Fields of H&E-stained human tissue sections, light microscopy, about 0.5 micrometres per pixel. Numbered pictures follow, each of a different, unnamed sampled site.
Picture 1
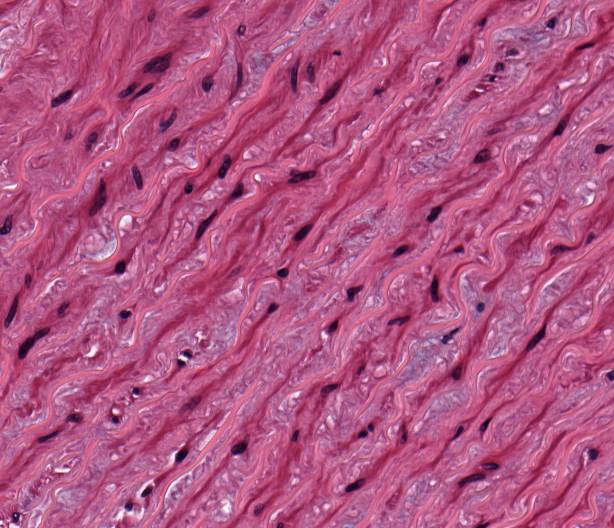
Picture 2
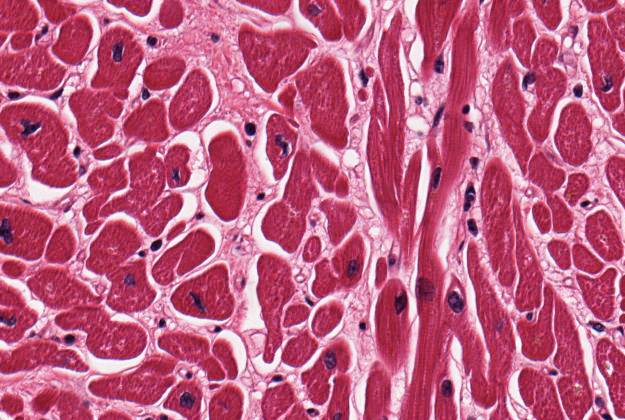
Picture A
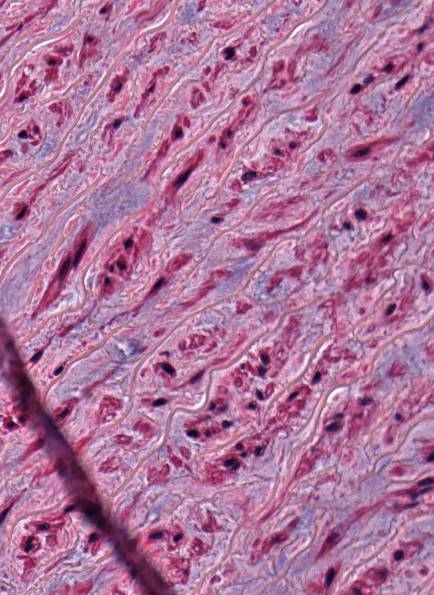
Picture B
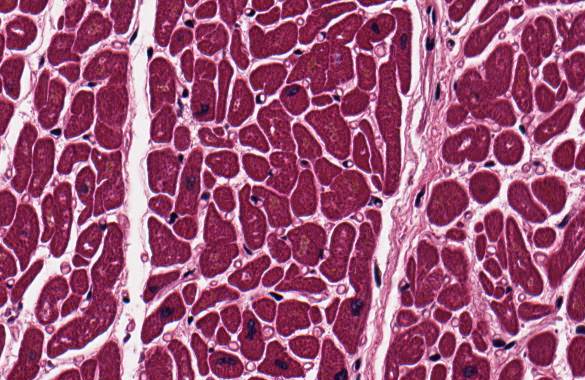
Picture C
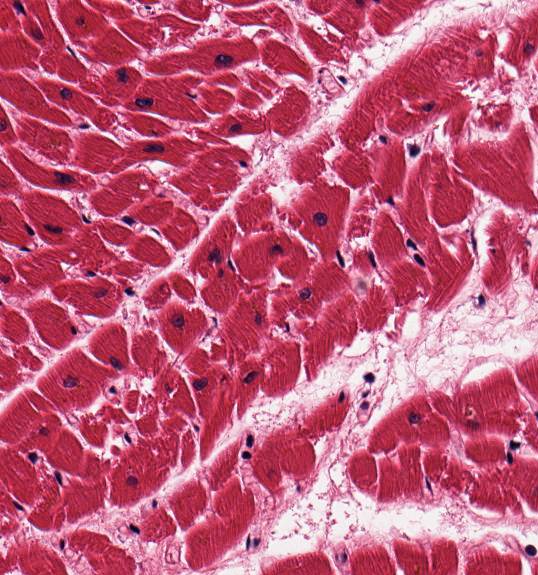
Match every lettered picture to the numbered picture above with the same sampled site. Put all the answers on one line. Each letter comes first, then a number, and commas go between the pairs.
A 1, B 2, C 2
